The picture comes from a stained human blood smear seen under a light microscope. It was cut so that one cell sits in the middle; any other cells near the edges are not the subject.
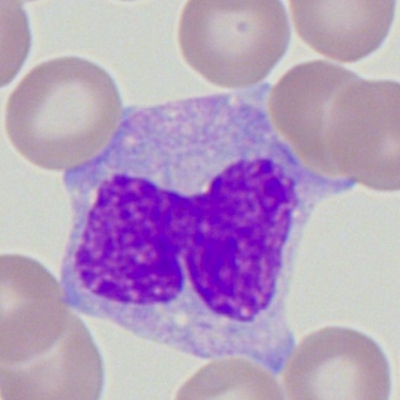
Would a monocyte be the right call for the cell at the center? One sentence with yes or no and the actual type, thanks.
Yes, the one cell at the centre is a monocyte.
